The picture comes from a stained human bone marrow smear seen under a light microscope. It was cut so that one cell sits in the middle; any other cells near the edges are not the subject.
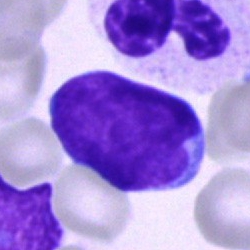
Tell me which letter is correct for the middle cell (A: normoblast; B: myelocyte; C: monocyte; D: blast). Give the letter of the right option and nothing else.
D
